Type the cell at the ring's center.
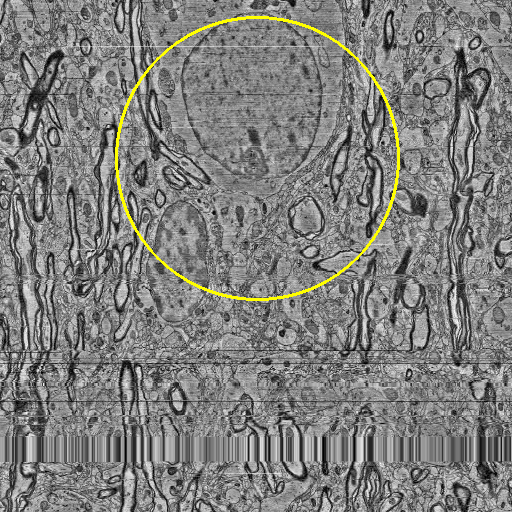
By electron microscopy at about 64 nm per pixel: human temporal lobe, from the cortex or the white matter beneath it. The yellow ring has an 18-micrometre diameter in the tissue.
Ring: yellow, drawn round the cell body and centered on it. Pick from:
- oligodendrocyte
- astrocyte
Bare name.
astrocyte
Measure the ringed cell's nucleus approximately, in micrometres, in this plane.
The ringed cell's nucleus measures approximately 12 by 9 micrometres in this plane.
